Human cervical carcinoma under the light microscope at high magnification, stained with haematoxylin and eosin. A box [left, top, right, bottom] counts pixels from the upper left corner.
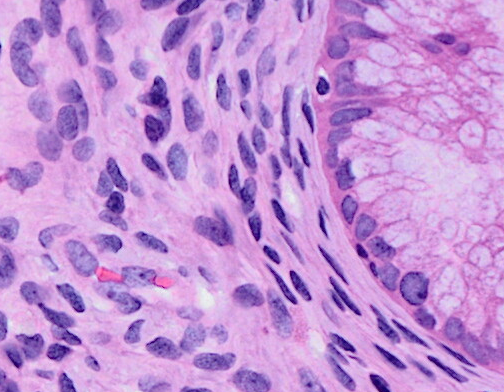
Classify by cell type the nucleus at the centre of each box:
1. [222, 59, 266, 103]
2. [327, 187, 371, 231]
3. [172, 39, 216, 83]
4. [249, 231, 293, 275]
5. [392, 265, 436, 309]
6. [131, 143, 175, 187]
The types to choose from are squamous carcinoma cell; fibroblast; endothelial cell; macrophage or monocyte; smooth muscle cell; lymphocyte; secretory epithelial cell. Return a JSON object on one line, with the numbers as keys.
{"1": "fibroblast", "2": "secretory epithelial cell", "3": "fibroblast", "4": "fibroblast", "5": "secretory epithelial cell", "6": "fibroblast"}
